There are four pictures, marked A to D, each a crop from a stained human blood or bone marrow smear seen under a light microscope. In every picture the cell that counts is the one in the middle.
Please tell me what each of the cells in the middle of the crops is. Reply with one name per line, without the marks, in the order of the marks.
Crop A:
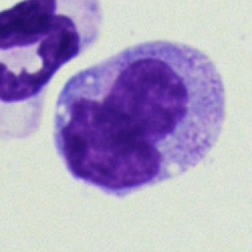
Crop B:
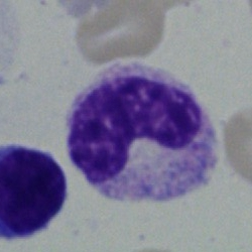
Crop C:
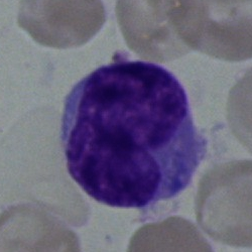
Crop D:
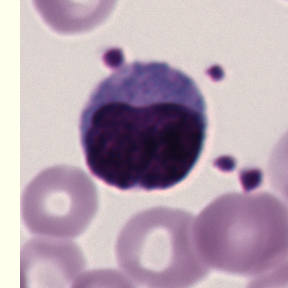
monocyte
metamyelocyte
monocyte
monocyte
